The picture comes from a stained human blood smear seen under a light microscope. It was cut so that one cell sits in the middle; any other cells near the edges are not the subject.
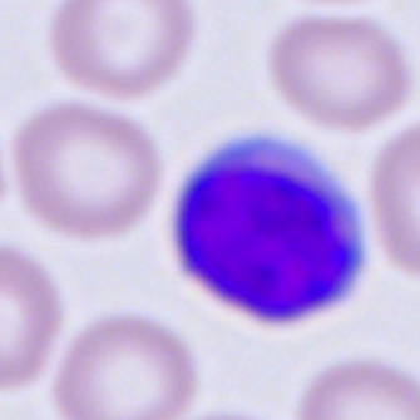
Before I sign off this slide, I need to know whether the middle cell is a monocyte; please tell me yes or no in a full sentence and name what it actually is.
No, the cell in the centre of the crop is a lymphocyte as opposed to a monocyte.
